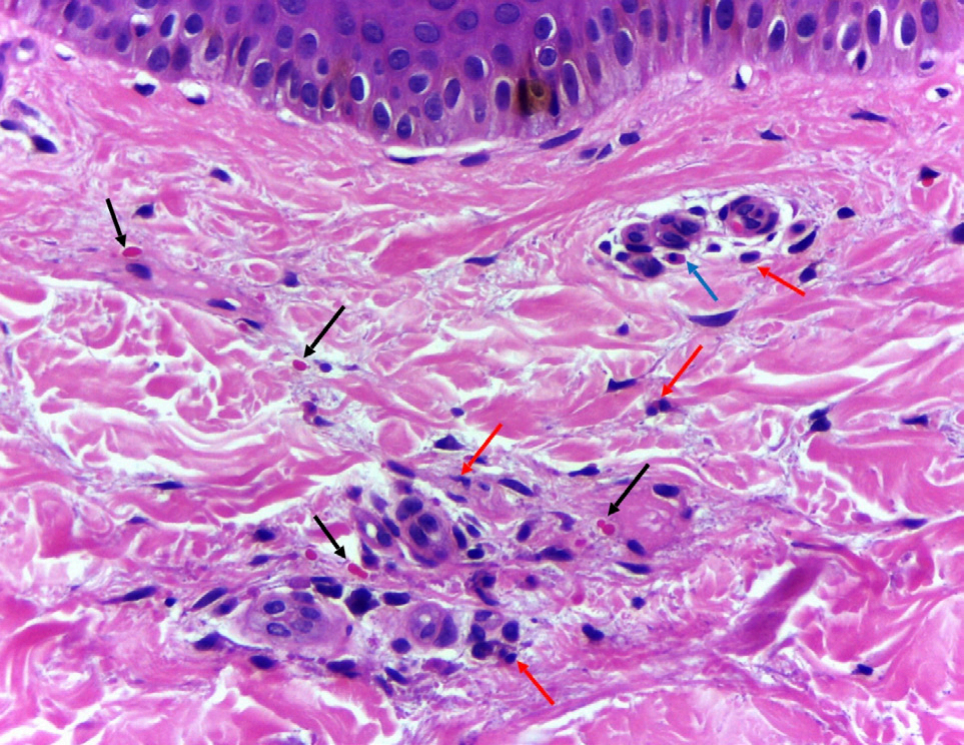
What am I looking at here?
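This section of skin shows the lower layers of the epidermis at the top and the dermis beneath, with small vessels surrounded by scattered inflammatory cells. The epidermis has rows of keratinocytes with oval purple nuclei and pale halos, with some brown pigment near the base. The dermis consists of wavy pink collagen bundles. Small vessels, lined by plump cells with large purple nuclei, are surrounded by a sparse scatter of small dark-nucleated cells and by free round pink-red bodies without nuclei lying among the collagen.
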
